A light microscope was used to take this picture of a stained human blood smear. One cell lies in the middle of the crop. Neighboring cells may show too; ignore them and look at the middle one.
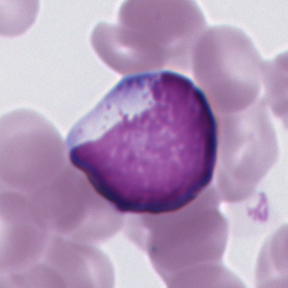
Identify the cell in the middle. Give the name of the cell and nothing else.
large granular lymphocyte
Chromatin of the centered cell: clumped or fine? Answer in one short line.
The chromatin shows a fine pattern without coarse clumps.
